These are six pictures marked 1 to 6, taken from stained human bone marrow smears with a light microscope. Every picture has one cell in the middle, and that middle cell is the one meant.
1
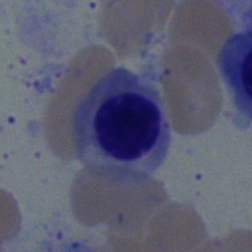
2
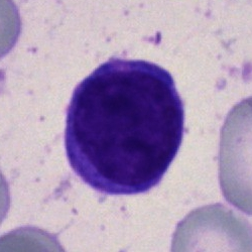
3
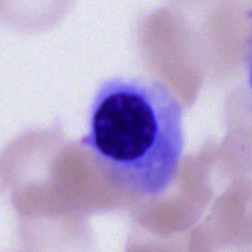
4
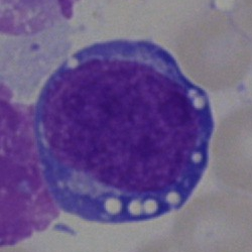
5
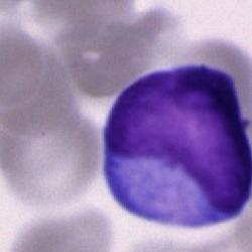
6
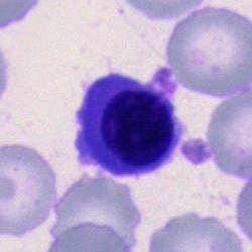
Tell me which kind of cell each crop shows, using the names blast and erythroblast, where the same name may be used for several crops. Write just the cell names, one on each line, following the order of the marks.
erythroblast
blast
erythroblast
blast
blast
erythroblast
